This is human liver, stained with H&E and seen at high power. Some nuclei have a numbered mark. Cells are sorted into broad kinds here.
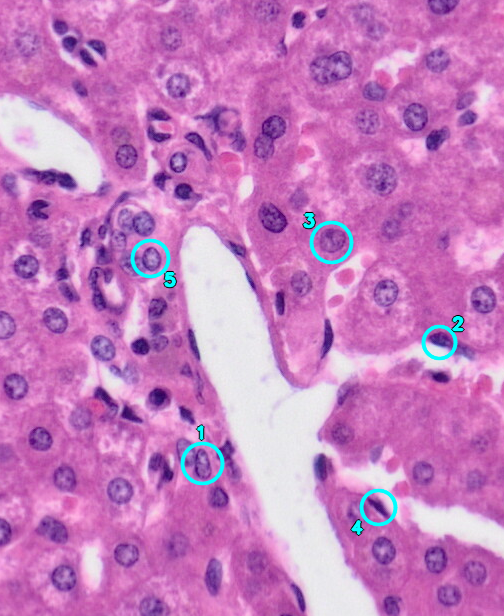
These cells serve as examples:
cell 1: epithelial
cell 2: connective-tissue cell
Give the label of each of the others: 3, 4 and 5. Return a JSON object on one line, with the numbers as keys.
{"3": "epithelial", "4": "connective-tissue cell", "5": "epithelial"}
